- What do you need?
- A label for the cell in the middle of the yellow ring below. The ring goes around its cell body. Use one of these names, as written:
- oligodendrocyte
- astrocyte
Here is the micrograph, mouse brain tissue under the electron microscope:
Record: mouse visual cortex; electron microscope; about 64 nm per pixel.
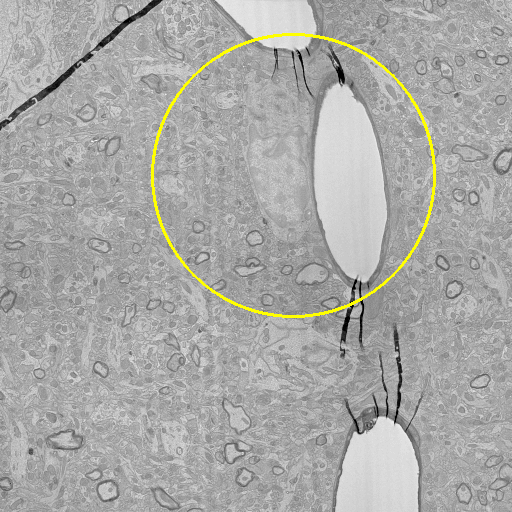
oligodendrocyte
